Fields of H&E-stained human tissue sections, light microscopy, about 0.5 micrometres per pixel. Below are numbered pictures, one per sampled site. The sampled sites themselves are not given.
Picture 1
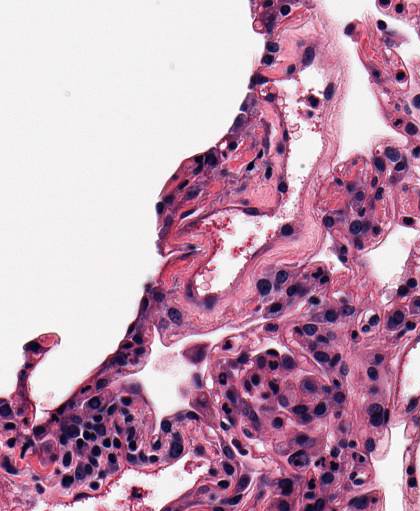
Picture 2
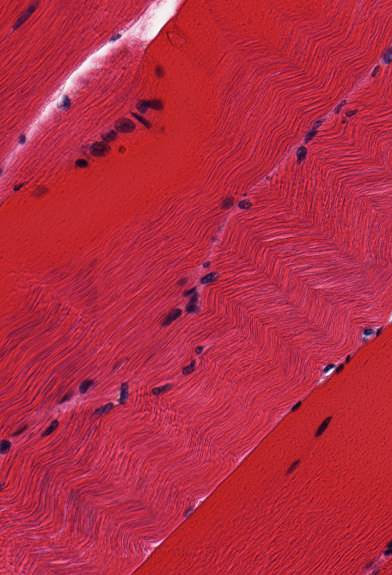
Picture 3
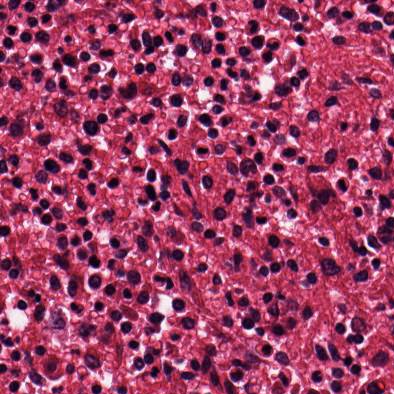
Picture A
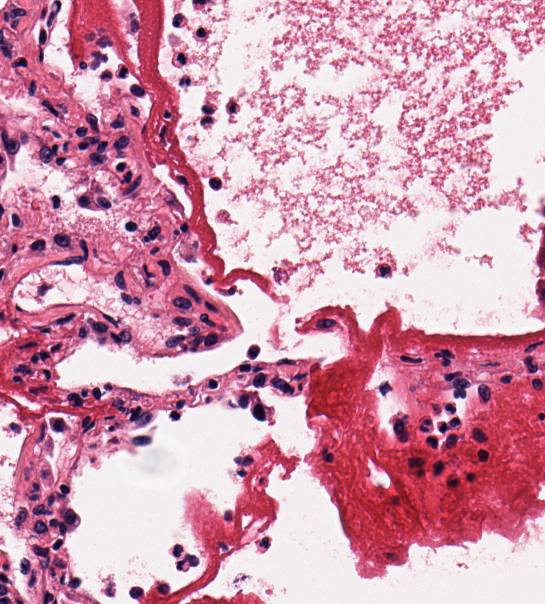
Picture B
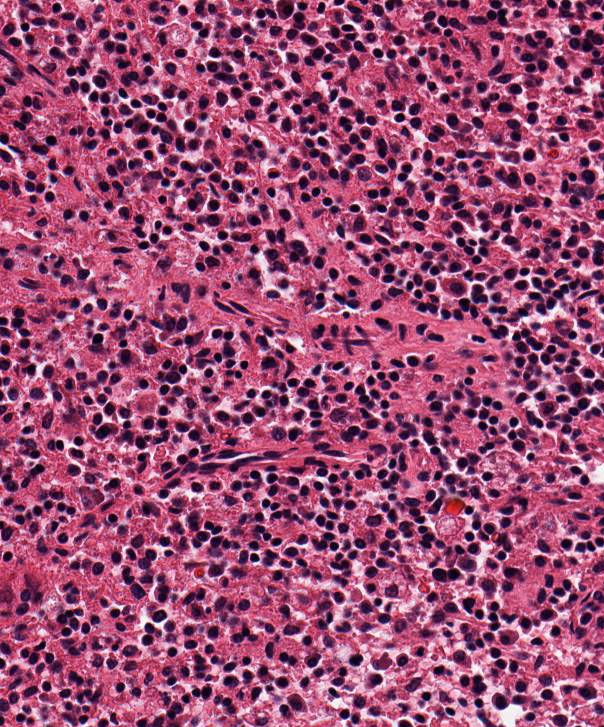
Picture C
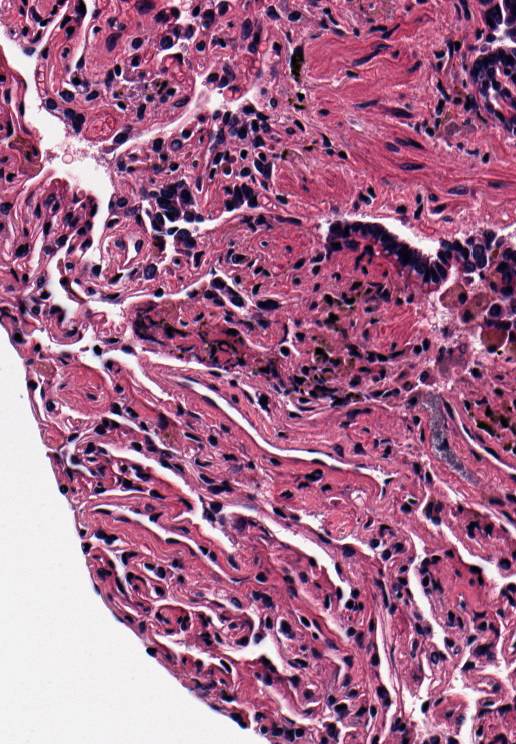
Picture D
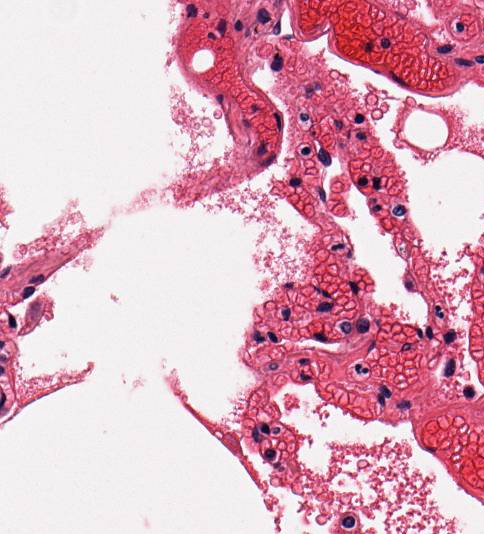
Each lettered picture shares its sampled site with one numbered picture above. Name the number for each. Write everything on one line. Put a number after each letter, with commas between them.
A 1, B 3, C 1, D 1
